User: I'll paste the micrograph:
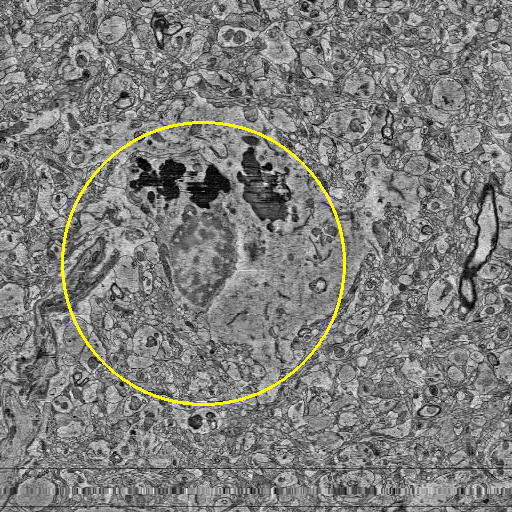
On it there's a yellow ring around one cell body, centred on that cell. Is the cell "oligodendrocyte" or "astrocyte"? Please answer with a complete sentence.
The cell ringed in yellow is an oligodendrocyte.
